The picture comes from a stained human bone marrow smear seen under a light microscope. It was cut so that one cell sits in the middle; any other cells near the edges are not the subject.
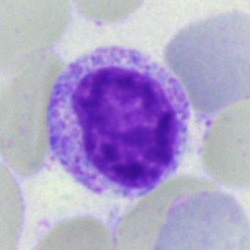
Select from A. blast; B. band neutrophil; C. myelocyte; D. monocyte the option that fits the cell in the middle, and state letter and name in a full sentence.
Seen at the centre of the crop is a myelocyte, so option C is correct.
